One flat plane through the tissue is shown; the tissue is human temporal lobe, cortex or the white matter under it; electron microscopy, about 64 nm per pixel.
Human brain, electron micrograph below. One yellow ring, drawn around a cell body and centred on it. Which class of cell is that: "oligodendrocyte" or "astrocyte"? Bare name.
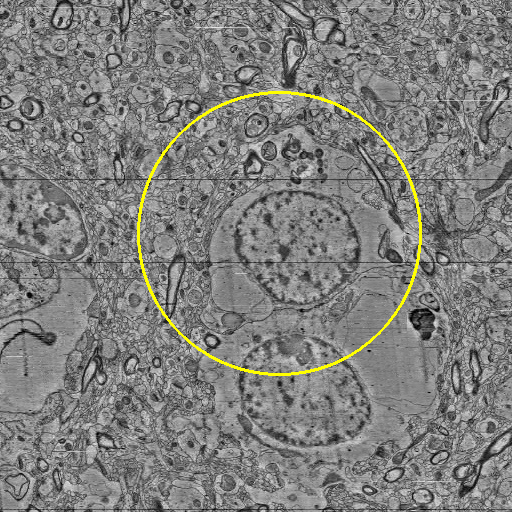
astrocyte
